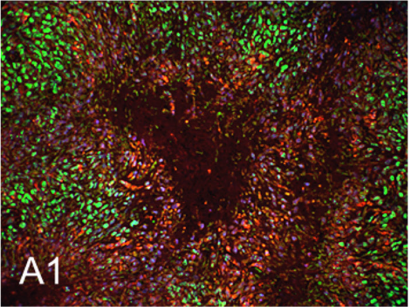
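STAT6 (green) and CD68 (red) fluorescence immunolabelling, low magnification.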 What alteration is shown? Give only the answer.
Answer: necrotic/progressive foci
